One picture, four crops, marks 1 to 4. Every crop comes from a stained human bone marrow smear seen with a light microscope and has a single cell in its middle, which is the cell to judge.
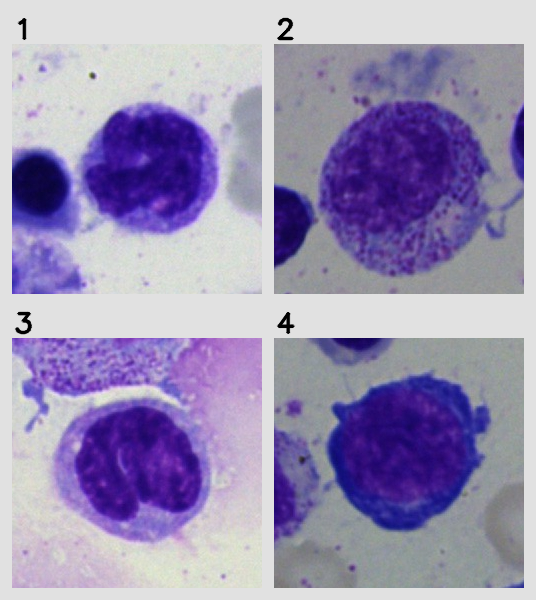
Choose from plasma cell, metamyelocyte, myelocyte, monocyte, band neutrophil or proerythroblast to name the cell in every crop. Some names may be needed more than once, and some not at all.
1: monocyte
2: myelocyte
3: monocyte
4: proerythroblast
